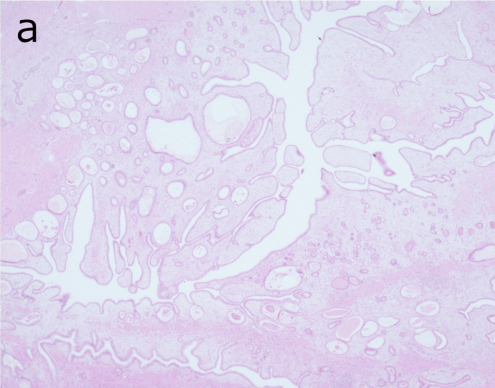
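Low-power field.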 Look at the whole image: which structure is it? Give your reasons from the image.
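A long branching cleft-like space runs through the tissue. Leaf-like stromal projections protrude into the cleft. Many small round cystic spaces lie around it.
Conclusion: phyllodes-like structure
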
